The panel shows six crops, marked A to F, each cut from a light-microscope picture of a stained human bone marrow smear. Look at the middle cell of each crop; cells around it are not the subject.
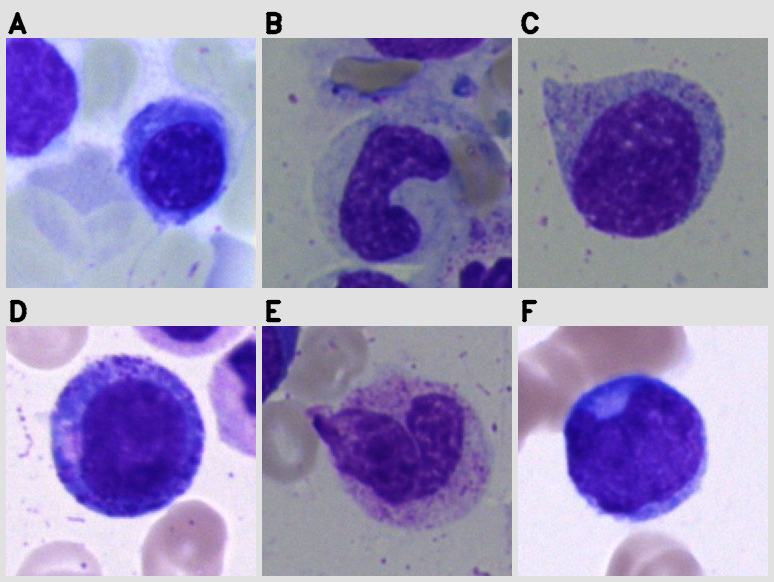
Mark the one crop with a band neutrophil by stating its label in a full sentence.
Crop B matches the request, showing a band neutrophil.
